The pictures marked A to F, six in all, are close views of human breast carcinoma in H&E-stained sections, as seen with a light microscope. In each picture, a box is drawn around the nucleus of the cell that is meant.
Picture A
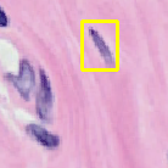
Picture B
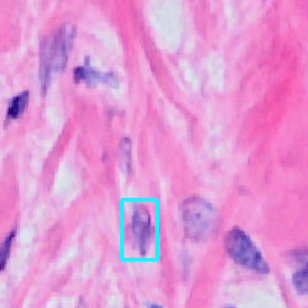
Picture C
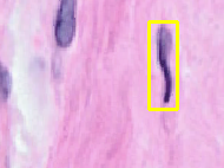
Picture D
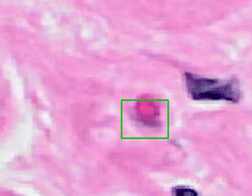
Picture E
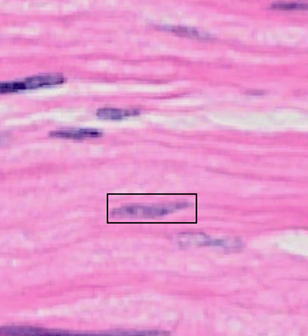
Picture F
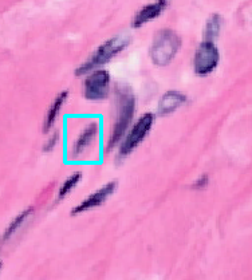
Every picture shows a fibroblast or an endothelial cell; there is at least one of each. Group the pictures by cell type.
A: fibroblast
B: fibroblast
C: fibroblast
D: endothelial cell
E: fibroblast
F: endothelial cell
